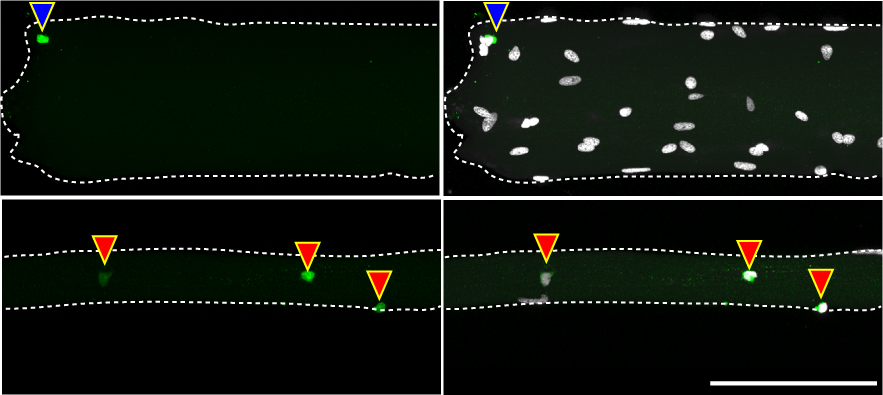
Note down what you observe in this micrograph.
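These are single isolated muscle fibres, each traced by a white dashed outline, seen as long unbranched cylinders. A single small, bright green cell sits at that rounded end, marked by an arrowhead. The lower fibre is much narrower and carries several small green cells spaced along its length, each marked by an arrowhead, rather than a single one near the end.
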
